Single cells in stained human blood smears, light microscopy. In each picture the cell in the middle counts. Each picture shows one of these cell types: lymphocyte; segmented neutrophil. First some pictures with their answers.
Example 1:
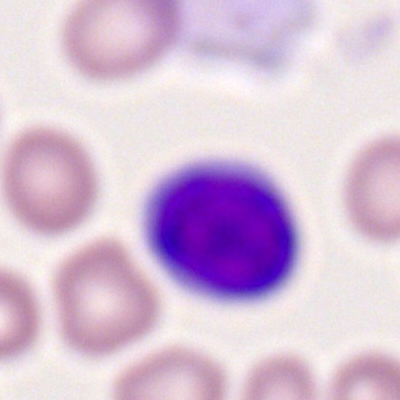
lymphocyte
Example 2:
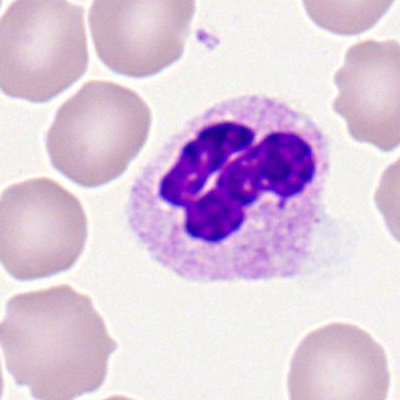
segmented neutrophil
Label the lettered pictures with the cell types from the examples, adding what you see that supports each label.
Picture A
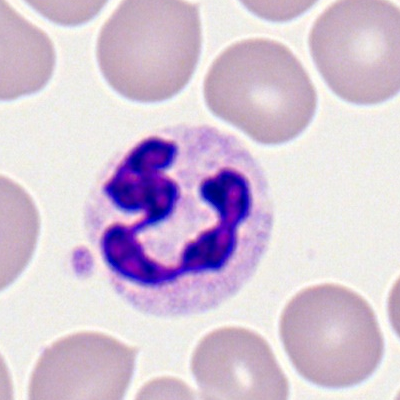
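Answer: segmented neutrophil. The cytoplasm is plentiful and pale pinkish-lilac.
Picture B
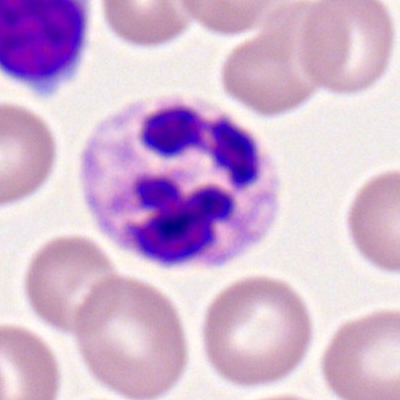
Answer: segmented neutrophil. The nucleus is divided into several separate lobes.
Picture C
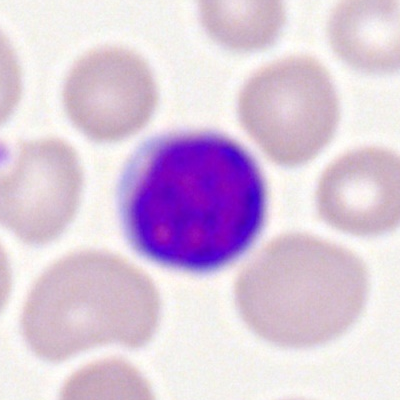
Answer: lymphocyte. The cytoplasm is scant, forming only a thin rim around the nucleus.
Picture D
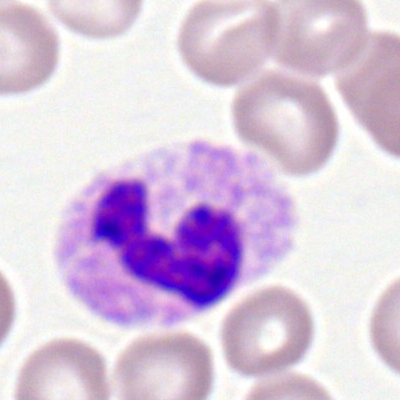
Answer: segmented neutrophil. The cytoplasm is plentiful and pale pinkish-lilac.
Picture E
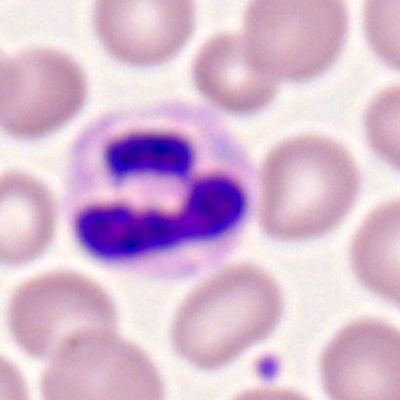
Answer: segmented neutrophil. The cytoplasm is plentiful and pale pinkish-lilac.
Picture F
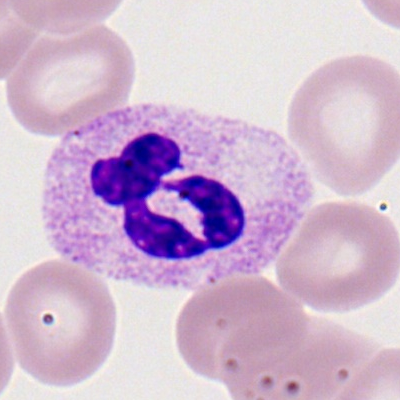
Answer: segmented neutrophil. The cytoplasm is abundant and pale pinkish-lilac.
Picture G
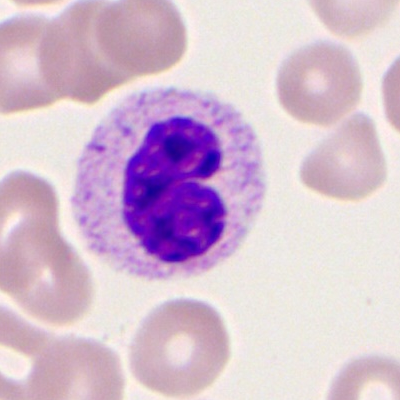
Answer: segmented neutrophil. The nucleus is curved into a C shape with its notched, open side facing right.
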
